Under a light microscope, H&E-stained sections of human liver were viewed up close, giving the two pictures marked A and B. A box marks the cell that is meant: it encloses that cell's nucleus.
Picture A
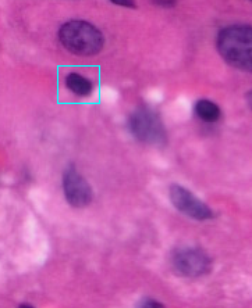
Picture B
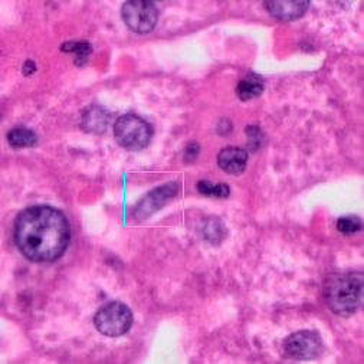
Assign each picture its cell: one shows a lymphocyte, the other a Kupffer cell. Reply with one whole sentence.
Picture A shows a lymphocyte and picture B shows a Kupffer cell.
